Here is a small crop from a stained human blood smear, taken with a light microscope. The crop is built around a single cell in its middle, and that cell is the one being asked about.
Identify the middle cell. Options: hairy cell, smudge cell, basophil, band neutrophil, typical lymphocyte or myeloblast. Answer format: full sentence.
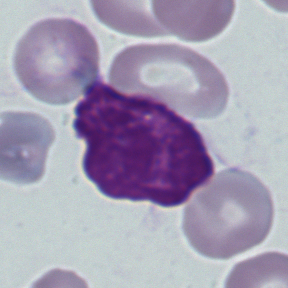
In the middle of this smear crop is a smudge cell.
